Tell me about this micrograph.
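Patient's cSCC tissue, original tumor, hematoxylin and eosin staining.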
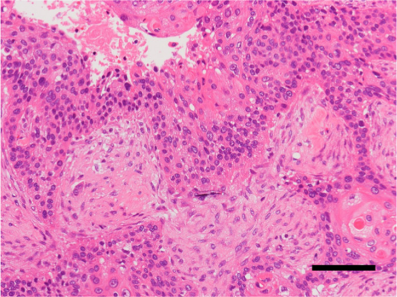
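Large nests of atypical keratinocytes fill this field, separated by pink fibrous stroma. The cells at the rims of the nests are crowded, with enlarged dark purple nuclei and scant cytoplasm, while cells toward the centres have more abundant pink cytoplasm. The centres of several nests contain glassy bright pink keratinous material, some in concentric whorls.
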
